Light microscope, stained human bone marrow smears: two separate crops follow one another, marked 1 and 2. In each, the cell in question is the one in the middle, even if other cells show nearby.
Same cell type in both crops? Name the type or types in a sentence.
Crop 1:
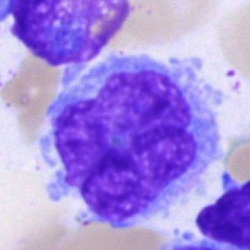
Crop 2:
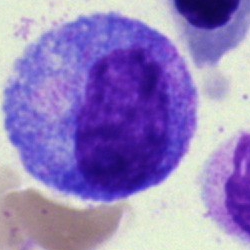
No, it is crop 1 that shows a monocyte, and crop 2 shows a promyelocyte.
